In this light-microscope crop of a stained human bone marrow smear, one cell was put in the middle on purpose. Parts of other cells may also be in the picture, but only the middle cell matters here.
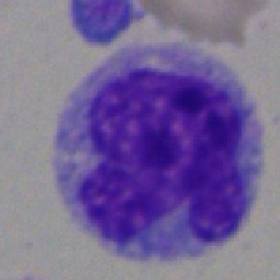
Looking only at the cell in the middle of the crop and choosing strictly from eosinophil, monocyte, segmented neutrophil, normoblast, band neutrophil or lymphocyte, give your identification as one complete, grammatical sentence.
At the center of the crop sits a monocyte.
